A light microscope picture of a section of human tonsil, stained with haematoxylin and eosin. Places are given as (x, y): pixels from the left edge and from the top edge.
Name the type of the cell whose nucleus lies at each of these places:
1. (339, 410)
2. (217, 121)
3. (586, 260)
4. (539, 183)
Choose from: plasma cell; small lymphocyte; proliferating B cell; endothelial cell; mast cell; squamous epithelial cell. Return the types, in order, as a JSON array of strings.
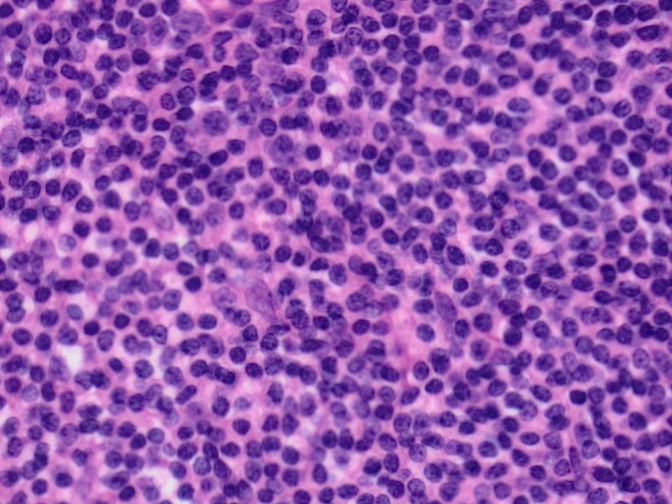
["small lymphocyte", "proliferating B cell", "small lymphocyte", "small lymphocyte"]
